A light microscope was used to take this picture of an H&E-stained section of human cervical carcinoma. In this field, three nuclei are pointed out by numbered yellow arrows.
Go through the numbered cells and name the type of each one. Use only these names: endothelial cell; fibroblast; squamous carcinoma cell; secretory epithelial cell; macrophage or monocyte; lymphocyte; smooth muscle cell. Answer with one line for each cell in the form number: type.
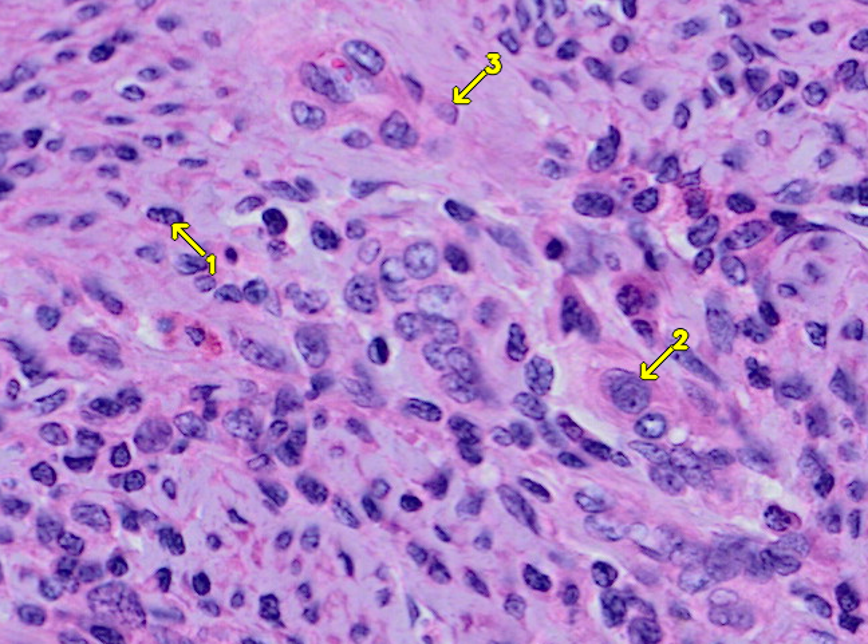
1: lymphocyte
2: endothelial cell
3: smooth muscle cell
